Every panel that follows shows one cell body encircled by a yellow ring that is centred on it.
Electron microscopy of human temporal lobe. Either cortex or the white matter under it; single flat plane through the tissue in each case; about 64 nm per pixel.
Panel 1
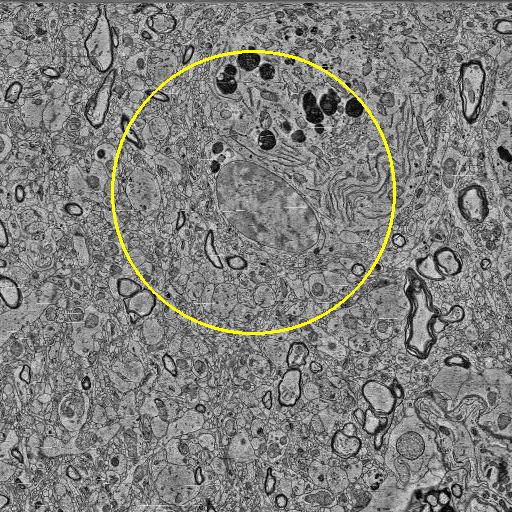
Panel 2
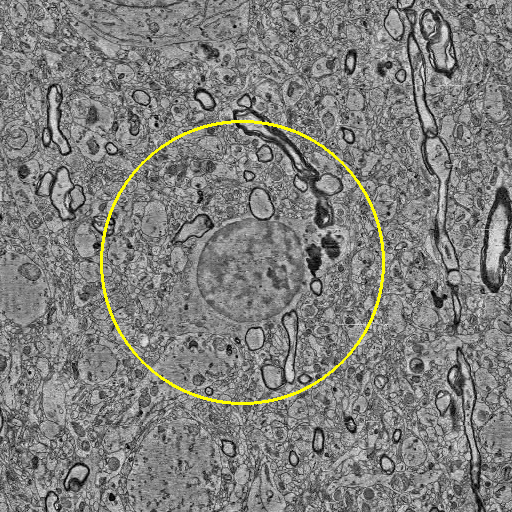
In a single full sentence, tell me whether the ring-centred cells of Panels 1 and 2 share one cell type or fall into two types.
In Panel 1 and Panel 2, the cells at the ring centres fall into two types.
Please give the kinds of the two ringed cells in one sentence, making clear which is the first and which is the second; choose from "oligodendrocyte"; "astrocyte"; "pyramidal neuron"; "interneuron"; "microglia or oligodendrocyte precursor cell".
In the second picture the ringed cell is an oligodendrocyte; in the first it is a microglial cell or oligodendrocyte precursor cell.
